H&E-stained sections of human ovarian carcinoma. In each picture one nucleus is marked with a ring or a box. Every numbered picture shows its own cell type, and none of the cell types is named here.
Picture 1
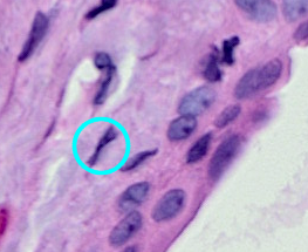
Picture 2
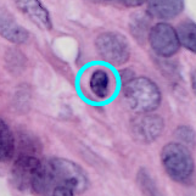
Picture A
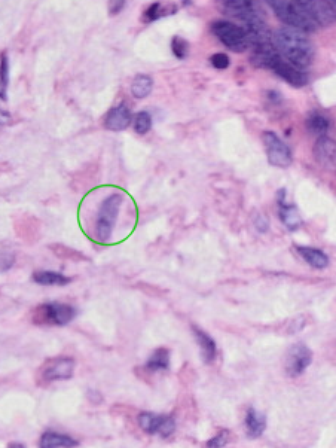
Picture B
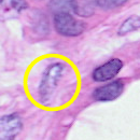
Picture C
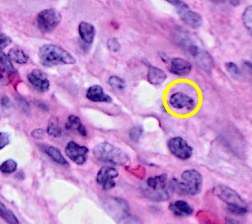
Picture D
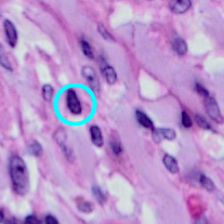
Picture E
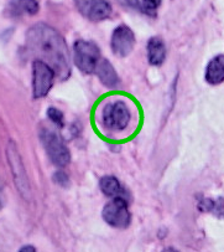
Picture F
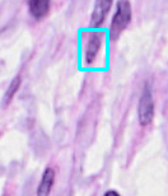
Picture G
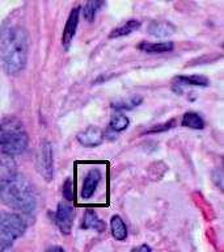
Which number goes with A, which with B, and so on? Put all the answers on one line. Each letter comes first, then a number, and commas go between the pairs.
A 1, B 1, C 2, D 2, E 2, F 1, G 2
